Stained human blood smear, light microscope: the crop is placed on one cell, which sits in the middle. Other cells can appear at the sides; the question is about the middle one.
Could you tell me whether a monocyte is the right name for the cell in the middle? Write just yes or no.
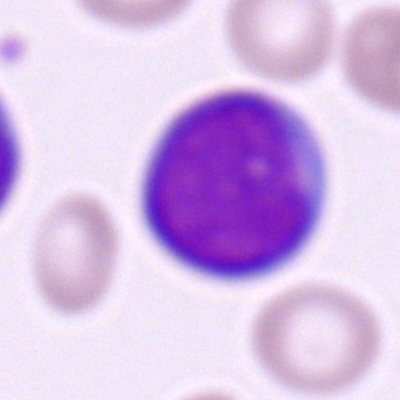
no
